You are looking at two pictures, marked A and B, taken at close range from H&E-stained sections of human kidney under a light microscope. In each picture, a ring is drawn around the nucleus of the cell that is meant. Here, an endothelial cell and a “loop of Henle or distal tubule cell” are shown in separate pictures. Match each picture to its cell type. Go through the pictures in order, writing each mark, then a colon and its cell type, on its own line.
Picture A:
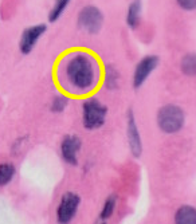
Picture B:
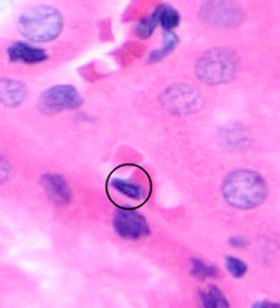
A: loop of Henle or distal tubule cell
B: endothelial cell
